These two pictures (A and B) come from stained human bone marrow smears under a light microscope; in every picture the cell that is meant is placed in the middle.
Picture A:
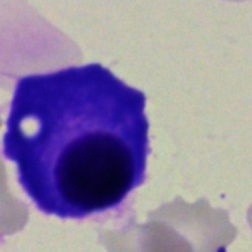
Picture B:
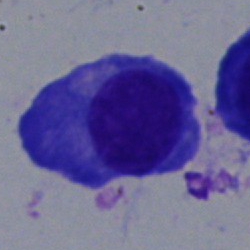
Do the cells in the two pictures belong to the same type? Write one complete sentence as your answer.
Yes, both cells are plasma cells.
